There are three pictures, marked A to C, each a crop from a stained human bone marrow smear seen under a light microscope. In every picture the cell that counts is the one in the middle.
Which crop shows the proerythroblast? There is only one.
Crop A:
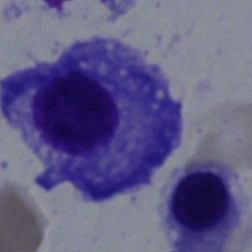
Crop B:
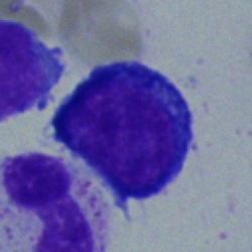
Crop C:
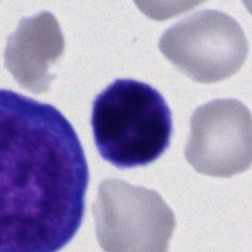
B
